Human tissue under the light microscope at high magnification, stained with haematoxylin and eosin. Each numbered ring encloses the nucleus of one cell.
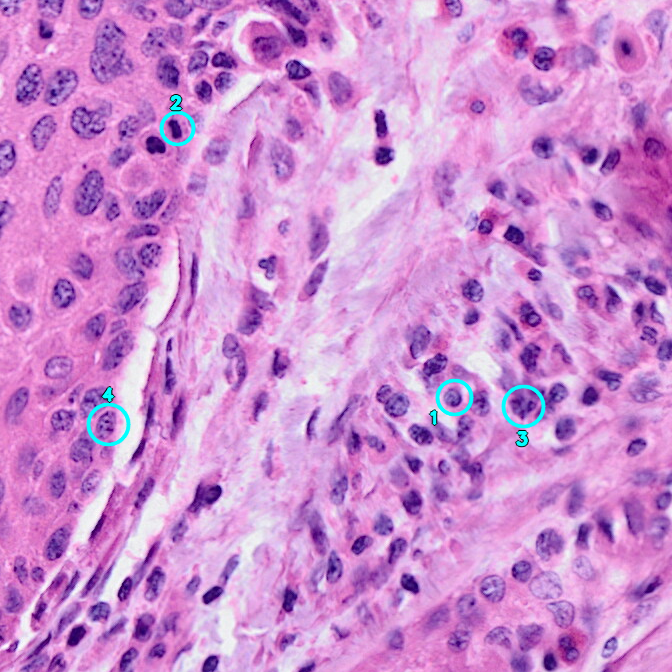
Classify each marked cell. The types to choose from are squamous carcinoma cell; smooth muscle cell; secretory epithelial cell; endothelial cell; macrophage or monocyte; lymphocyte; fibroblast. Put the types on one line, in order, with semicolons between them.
lymphocyte; squamous carcinoma cell; lymphocyte; squamous carcinoma cell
